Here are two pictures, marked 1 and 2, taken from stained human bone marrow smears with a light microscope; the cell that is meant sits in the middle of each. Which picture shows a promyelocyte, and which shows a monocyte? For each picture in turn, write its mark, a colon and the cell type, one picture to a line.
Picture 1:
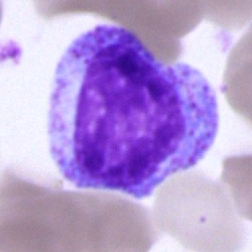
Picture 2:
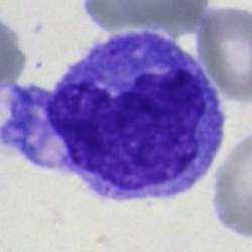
1: promyelocyte
2: monocyte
